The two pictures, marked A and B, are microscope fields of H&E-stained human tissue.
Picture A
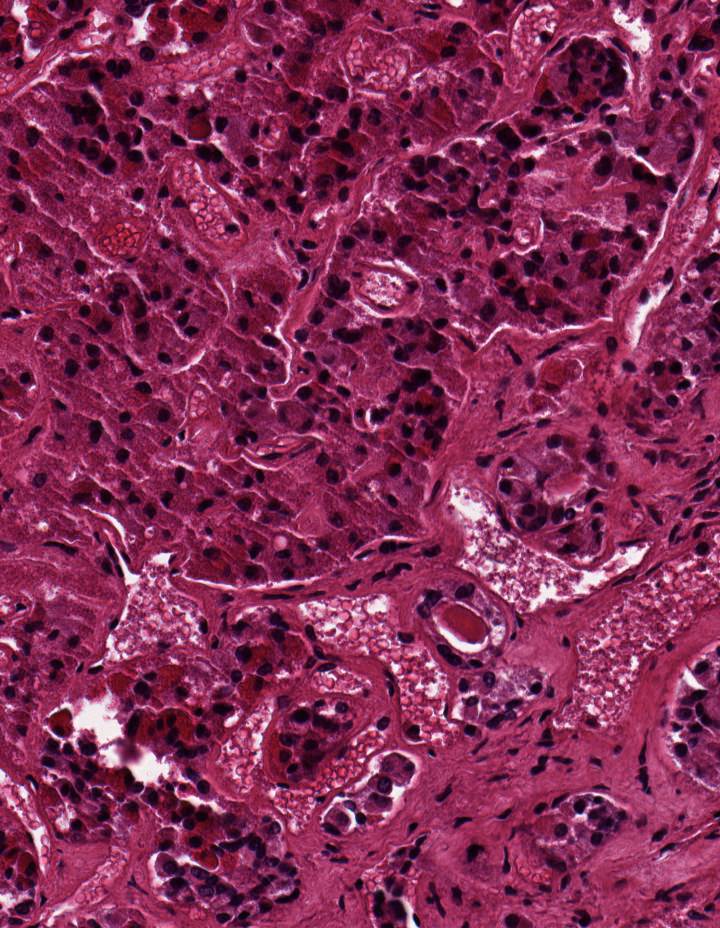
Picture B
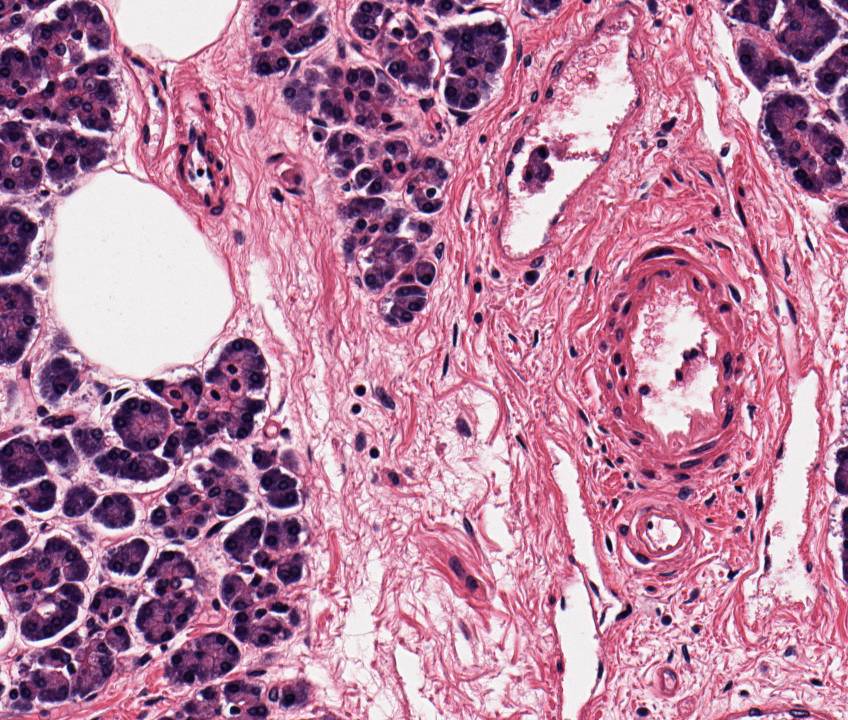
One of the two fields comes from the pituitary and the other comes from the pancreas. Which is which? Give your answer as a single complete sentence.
It is picture A that comes from the pituitary, and picture B that comes from the pancreas.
